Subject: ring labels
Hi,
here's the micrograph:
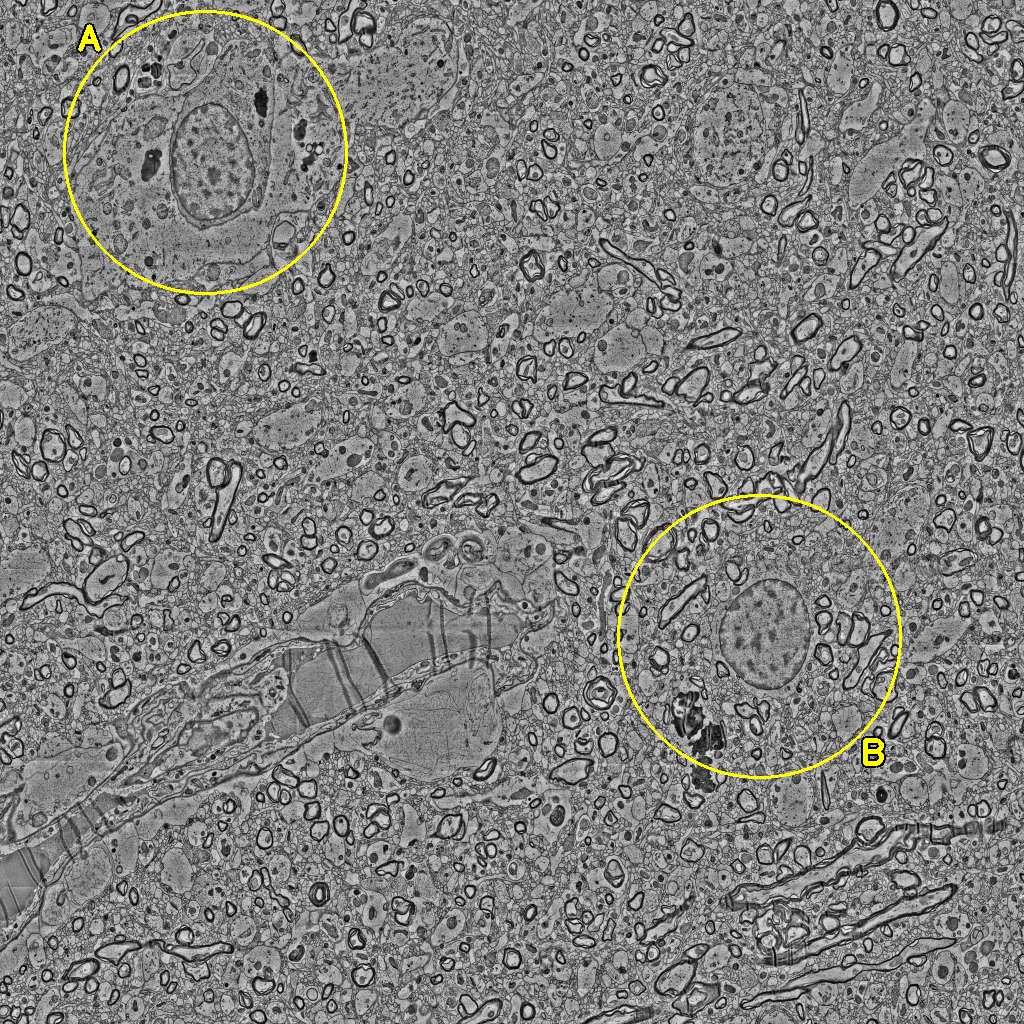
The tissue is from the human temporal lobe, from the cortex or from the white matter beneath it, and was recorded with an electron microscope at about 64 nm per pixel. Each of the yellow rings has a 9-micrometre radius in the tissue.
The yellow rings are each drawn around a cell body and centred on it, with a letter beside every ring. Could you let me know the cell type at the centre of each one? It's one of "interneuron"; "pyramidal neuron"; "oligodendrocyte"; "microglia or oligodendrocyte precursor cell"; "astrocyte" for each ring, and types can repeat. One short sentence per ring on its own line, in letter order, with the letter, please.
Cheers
The type at the centre of ring A is an oligodendrocyte.
The type at the centre of ring B is an oligodendrocyte.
